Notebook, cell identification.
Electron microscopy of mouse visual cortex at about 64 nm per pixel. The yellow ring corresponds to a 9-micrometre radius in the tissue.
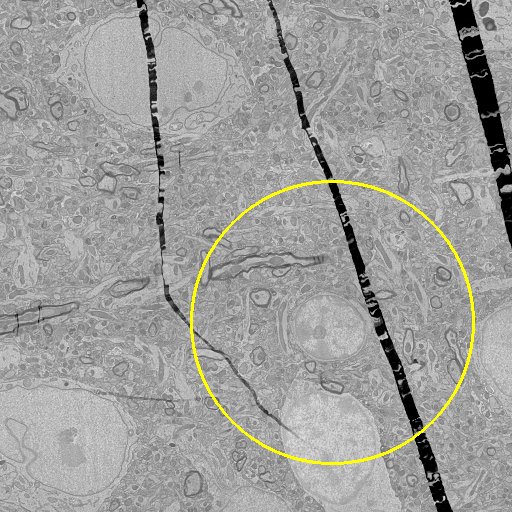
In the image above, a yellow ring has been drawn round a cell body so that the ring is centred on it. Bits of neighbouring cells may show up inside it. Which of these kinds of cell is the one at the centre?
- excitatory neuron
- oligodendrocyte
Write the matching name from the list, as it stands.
oligodendrocyte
